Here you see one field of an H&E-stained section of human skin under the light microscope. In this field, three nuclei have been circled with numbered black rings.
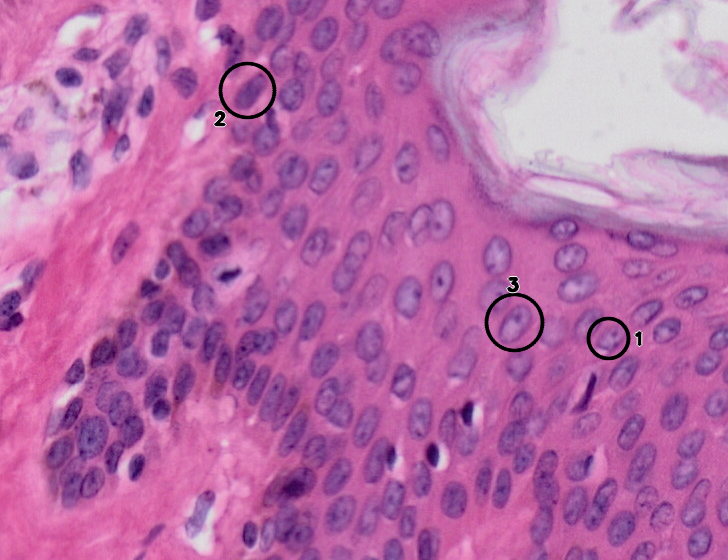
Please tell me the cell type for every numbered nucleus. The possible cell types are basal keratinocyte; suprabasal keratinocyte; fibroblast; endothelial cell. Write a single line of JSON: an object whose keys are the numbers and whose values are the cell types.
{"1": "suprabasal keratinocyte", "2": "basal keratinocyte", "3": "suprabasal keratinocyte"}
